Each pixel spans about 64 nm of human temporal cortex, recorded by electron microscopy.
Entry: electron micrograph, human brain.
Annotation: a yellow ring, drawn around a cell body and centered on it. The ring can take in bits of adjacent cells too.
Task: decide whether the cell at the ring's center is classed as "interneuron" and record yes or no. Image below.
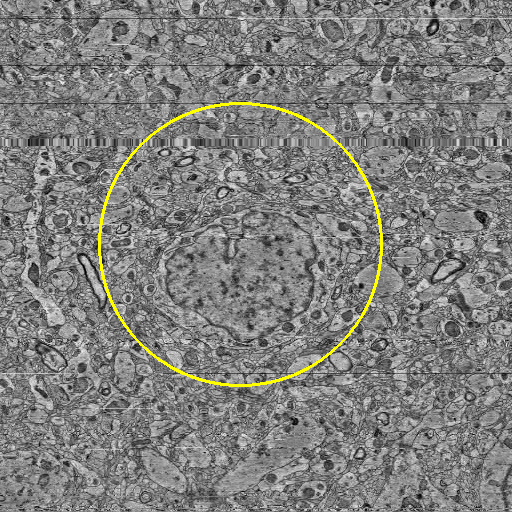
yes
